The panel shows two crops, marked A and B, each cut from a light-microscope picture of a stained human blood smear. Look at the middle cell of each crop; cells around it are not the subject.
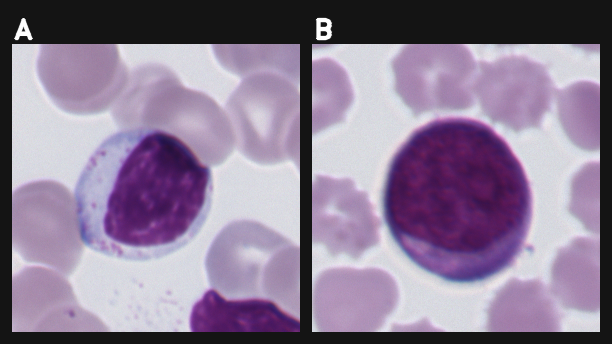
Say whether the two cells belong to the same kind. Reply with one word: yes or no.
no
